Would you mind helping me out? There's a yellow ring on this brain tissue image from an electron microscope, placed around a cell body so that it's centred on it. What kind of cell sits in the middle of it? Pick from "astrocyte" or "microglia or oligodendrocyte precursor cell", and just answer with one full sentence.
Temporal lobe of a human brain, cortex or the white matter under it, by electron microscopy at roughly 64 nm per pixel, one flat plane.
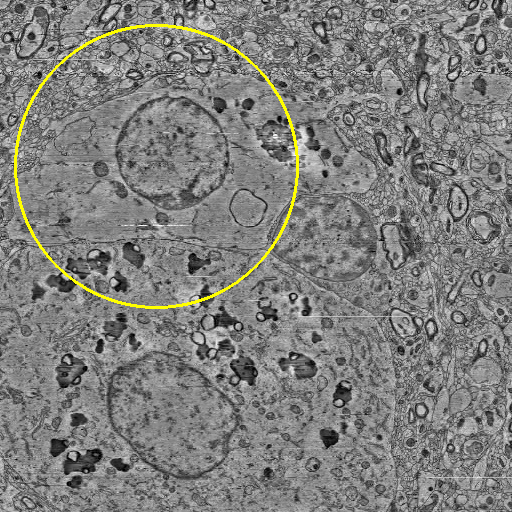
What sits in the middle of that yellow ring is an astrocyte, from your choices.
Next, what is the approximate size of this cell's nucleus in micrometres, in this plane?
In this plane, approximately 7 micrometres across.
